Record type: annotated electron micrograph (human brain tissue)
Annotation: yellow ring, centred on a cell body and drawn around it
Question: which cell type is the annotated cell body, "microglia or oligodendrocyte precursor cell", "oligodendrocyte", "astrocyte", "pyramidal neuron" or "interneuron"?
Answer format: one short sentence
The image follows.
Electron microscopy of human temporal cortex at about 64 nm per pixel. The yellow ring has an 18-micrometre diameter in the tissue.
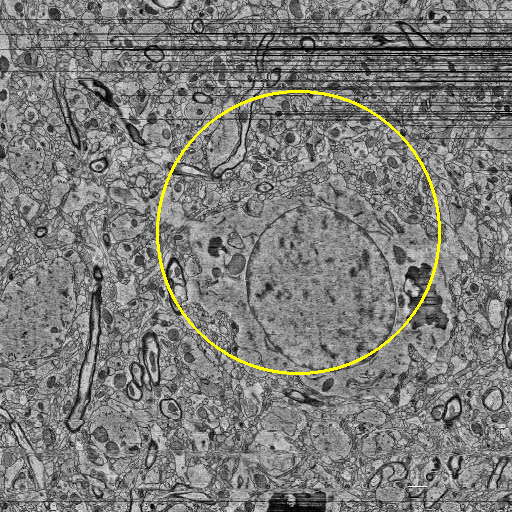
The annotated cell body is that of an astrocyte.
